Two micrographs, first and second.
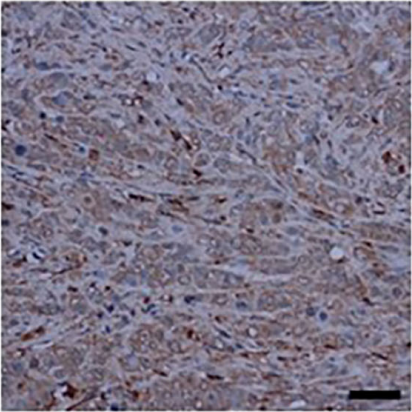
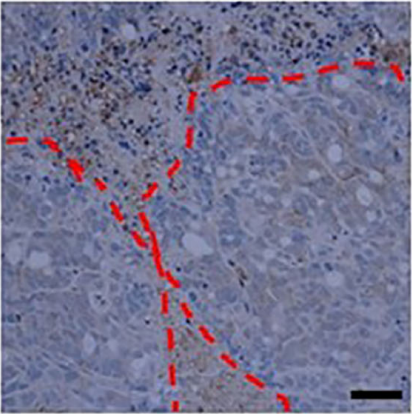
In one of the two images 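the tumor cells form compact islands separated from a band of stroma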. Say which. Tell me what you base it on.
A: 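The second image. First image: tumor cells are intermixed with spindle-shaped and brown-stained cells, with no distinct stromal band. Second image: sheets of large pale cells are bordered by zones of small dark nuclei.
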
